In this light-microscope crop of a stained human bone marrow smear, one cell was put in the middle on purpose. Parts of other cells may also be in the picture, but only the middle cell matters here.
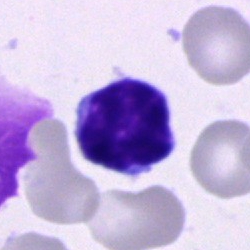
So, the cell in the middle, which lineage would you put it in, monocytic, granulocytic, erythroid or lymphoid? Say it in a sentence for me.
The cell at the center is a representative of the lymphoid lineage.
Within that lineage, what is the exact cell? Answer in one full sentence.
The single cell at the center of the crop is a lymphocyte.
